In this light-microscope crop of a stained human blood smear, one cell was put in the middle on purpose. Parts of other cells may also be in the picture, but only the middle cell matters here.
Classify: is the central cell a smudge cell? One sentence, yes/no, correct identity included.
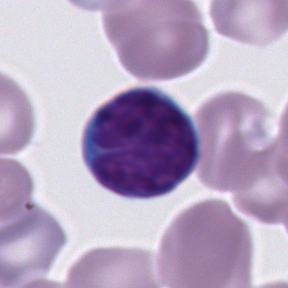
No, a typical lymphocyte, not a smudge cell, is what sits in the centre of the crop.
